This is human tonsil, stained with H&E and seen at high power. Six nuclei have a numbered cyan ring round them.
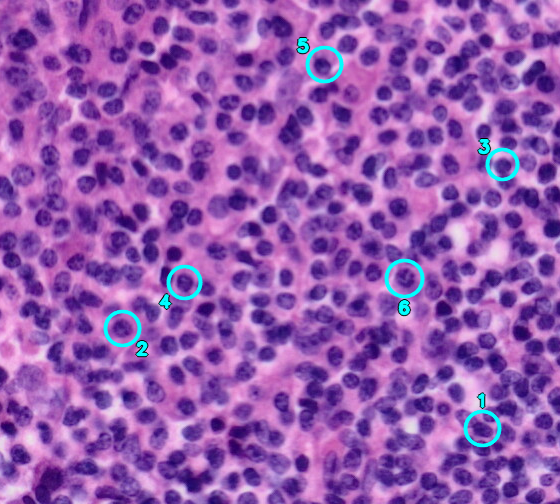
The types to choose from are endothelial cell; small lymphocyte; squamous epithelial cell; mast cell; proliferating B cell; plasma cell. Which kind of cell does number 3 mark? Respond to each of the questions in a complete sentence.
The cell pointed out by number 3 is a small lymphocyte.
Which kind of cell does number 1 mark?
The marked cell with the number 1 is recognised as a small lymphocyte.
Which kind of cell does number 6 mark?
It is as a plasma cell that the cell numbered 6 is identified.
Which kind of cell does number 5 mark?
Cell 5 in the field is a plasma cell.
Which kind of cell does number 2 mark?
The nucleus labeled 2 belongs to a plasma cell.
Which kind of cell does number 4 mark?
In this section, number 4 marks a plasma cell.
